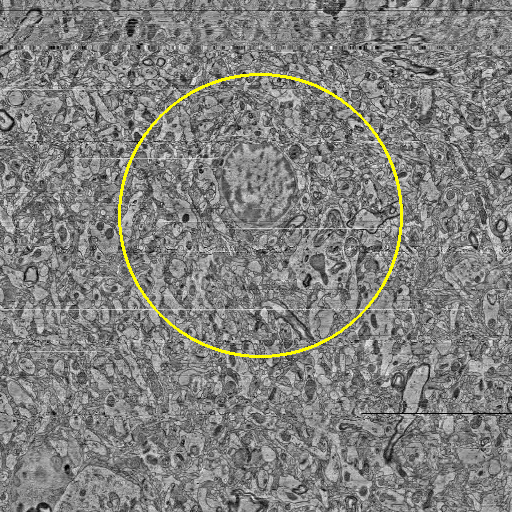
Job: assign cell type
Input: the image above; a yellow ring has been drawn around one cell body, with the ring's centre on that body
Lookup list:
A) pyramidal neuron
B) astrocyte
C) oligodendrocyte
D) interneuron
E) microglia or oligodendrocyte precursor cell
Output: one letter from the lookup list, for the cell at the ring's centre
C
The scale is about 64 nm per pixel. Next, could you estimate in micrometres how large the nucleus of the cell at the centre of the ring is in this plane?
In this plane, the nucleus of the cell at the centre of the ring measures about 6 by 5 micrometres.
